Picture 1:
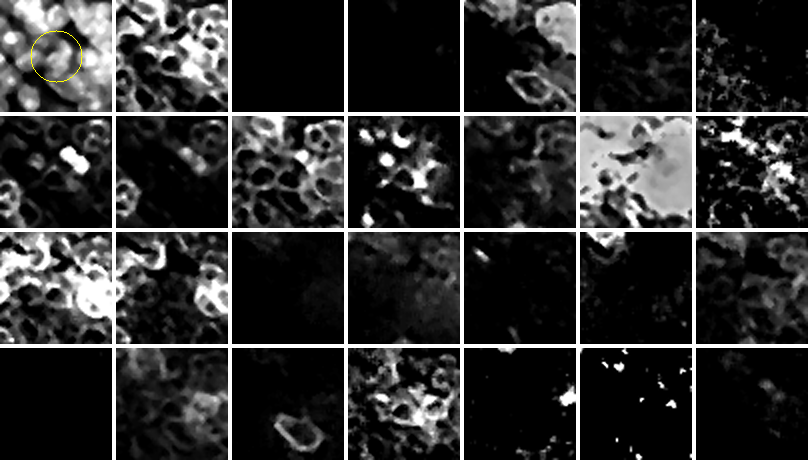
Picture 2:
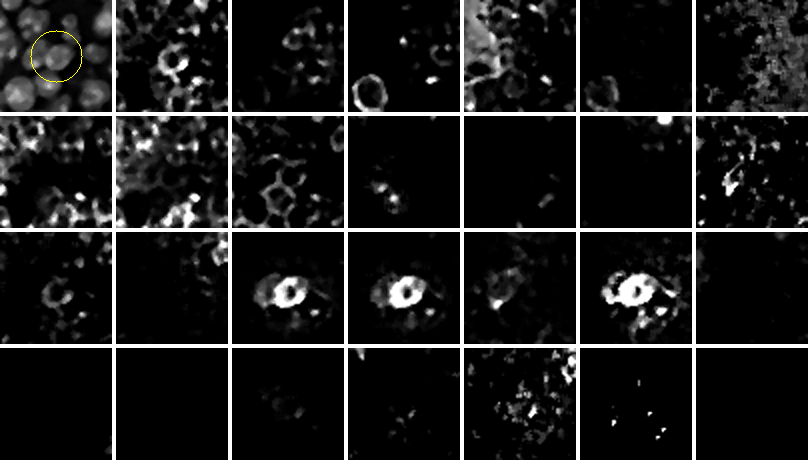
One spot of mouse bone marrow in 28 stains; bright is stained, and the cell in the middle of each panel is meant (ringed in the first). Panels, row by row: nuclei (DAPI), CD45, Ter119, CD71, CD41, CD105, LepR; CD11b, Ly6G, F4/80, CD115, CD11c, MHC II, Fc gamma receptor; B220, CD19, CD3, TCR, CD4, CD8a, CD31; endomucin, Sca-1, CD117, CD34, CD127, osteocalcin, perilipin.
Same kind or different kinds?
Different: the first is a monocyte, the second a CD8 T cell.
